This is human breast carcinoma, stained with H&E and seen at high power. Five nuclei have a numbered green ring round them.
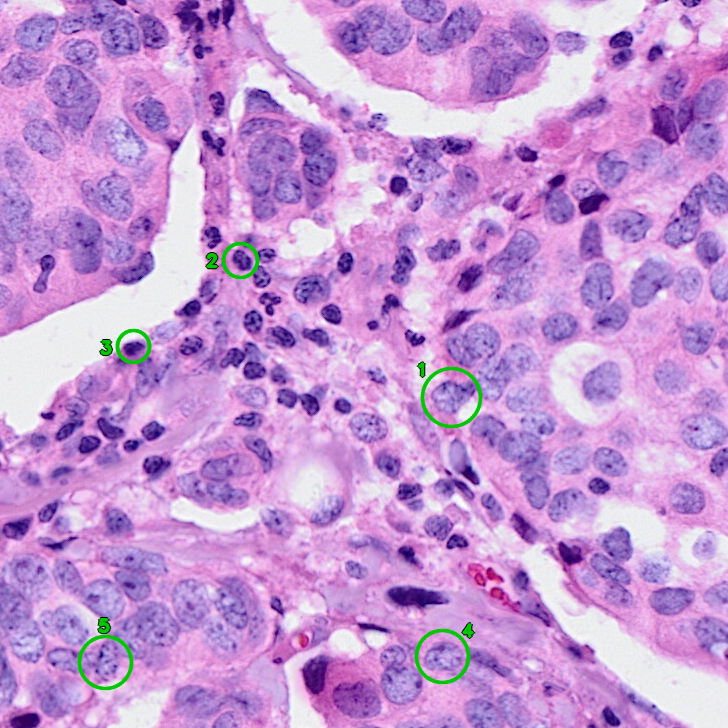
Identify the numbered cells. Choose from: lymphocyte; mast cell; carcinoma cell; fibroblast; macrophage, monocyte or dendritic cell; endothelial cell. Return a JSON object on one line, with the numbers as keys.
{"1": "carcinoma cell", "2": "lymphocyte", "3": "lymphocyte", "4": "carcinoma cell", "5": "carcinoma cell"}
